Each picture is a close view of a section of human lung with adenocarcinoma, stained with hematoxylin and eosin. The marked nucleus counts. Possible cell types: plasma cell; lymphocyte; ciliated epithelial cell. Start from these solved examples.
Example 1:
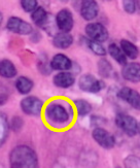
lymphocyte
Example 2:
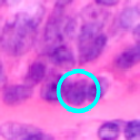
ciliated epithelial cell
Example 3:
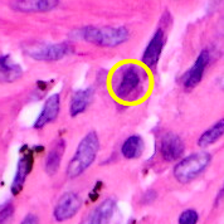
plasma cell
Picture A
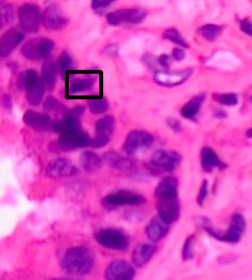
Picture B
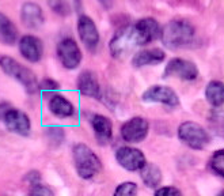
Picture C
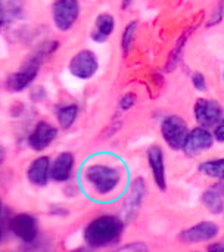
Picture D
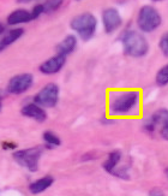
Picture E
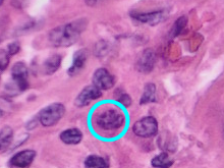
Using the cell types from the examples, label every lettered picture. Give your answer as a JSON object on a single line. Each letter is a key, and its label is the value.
{"A": "ciliated epithelial cell", "B": "lymphocyte", "C": "lymphocyte", "D": "lymphocyte", "E": "plasma cell"}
